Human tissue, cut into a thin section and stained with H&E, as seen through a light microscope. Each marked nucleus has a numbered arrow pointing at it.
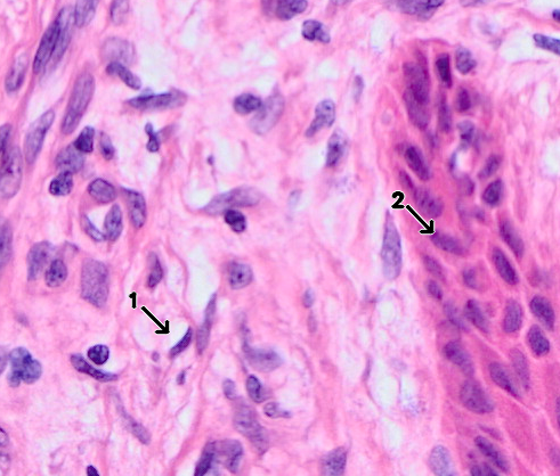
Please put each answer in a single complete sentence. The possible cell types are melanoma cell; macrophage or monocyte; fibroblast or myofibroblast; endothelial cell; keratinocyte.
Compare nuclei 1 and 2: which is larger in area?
At about 1.5 times the area of nucleus 1, nucleus 2 is the larger of the two.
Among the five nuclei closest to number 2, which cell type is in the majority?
Most of the five nuclei nearest to number 2 are those of keratinocytes.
